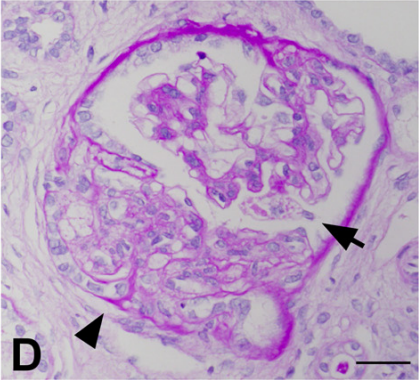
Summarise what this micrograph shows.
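A glomerulus in which the upper part of the tuft keeps open capillary loops while the lower part is solidified by increased magenta matrix. The solidified segment lies against the capsule and is joined to it. The capsule shows a thick, intensely magenta basement membrane along one side. Cells with pale cytoplasm cover the tuft surface facing the urinary space.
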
